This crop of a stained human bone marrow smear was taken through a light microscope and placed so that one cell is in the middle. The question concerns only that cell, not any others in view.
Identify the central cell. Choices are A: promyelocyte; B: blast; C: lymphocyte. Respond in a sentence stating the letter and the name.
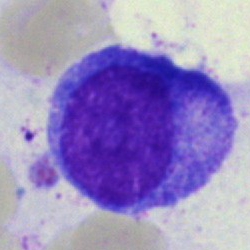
Located in the middle of the crop is a promyelocyte, and option A is therefore correct.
